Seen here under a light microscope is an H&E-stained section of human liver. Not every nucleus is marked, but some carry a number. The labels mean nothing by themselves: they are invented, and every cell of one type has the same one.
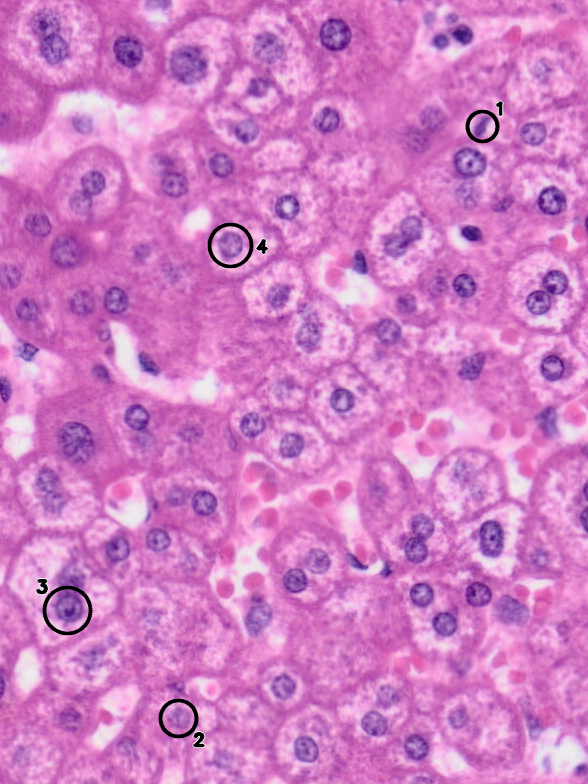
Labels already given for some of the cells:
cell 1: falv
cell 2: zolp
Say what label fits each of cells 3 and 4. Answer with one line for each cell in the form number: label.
3: zolp
4: zolp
